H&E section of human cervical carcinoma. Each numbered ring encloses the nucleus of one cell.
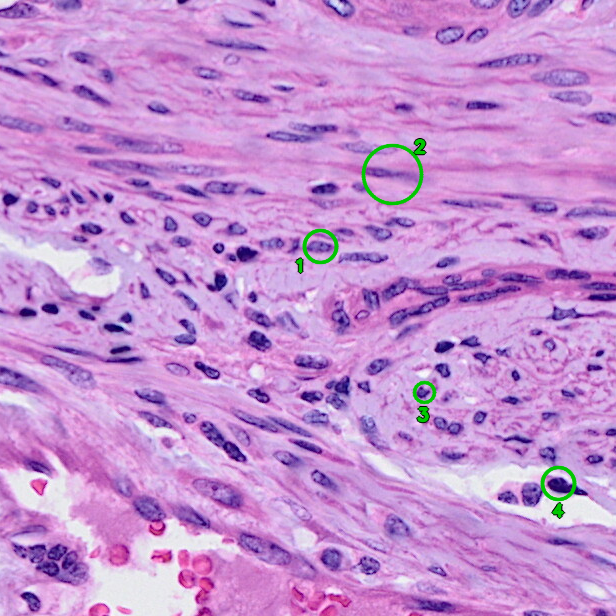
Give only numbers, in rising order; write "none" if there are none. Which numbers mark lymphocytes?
4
